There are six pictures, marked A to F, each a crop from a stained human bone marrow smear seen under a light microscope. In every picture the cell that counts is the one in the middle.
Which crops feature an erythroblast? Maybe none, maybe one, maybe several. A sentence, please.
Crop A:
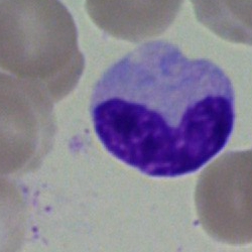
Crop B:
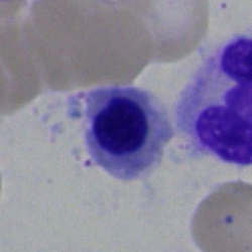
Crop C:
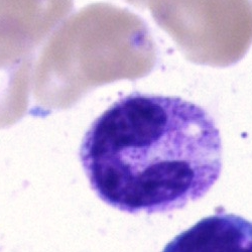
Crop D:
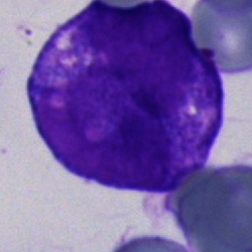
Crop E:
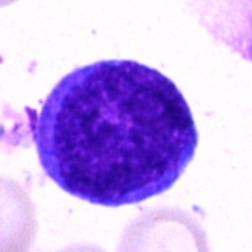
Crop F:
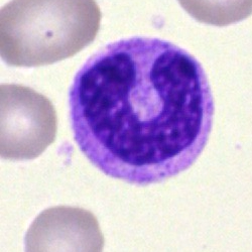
Among the crops, an erythroblast is shown by crop B alone.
